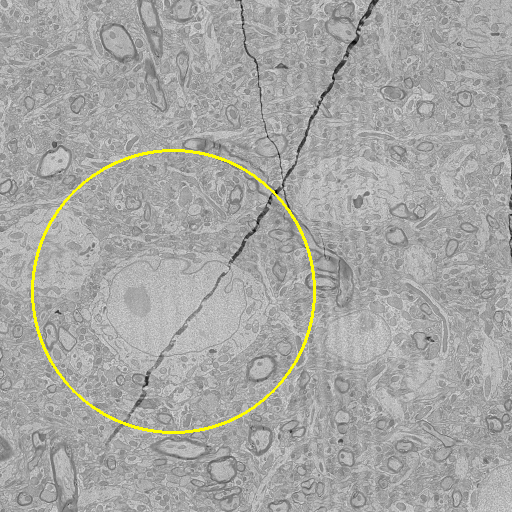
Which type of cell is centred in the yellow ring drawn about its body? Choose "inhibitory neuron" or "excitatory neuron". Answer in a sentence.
The yellow ring surrounds the cell body of an excitatory neuron.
